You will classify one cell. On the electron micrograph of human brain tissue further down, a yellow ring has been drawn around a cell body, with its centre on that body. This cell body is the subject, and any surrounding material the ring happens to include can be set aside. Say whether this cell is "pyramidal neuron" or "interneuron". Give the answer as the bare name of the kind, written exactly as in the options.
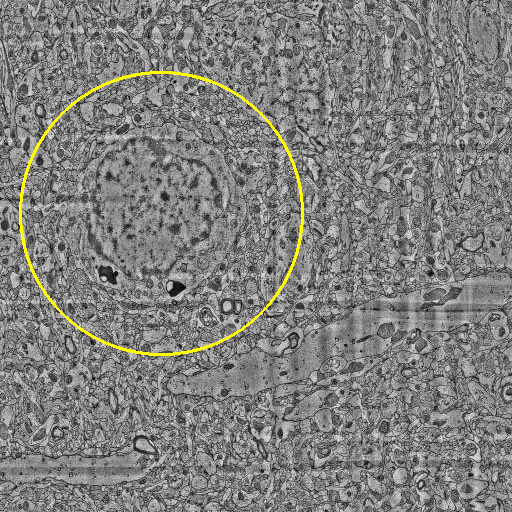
interneuron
